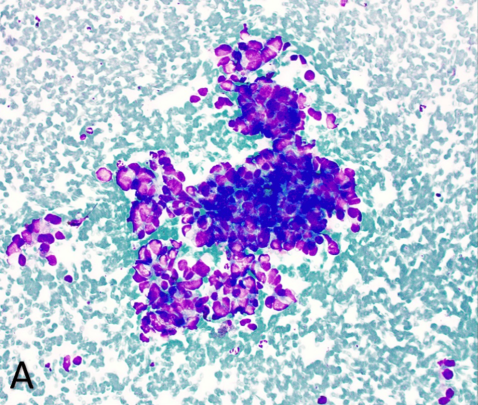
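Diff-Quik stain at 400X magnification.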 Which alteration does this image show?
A: moulding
